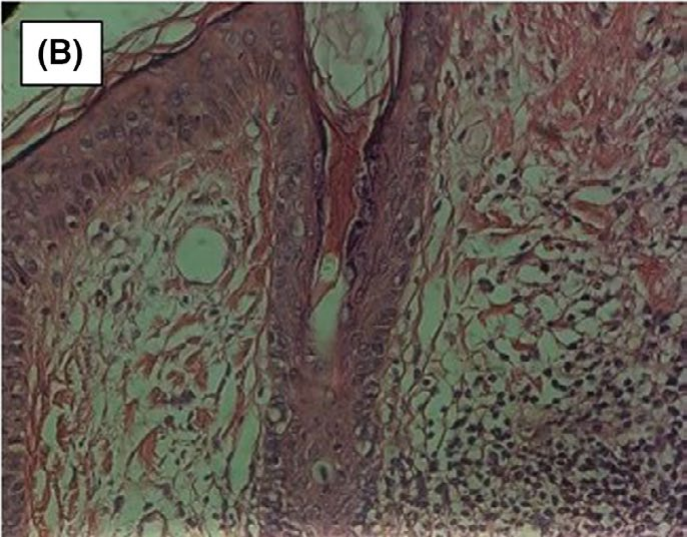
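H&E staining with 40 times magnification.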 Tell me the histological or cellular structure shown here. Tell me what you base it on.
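Hair follicles. A narrow epithelial channel runs down from the surface through the middle of the field. Its lumen holds pink keratin-like material. Dense small dark nuclei crowd the dermis beside it.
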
